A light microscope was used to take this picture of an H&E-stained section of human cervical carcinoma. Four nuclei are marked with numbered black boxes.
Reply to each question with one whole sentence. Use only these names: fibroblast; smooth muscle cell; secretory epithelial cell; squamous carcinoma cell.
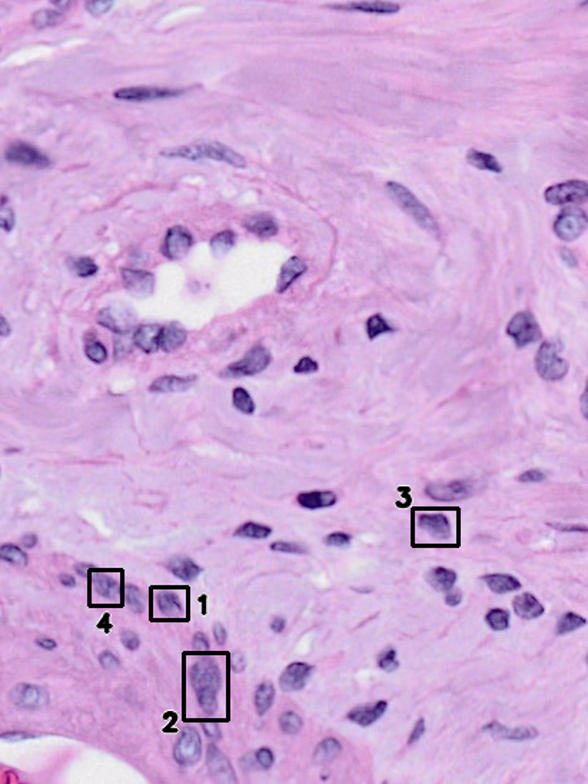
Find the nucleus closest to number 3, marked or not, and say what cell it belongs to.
Number 3 lies closest to the nucleus of a fibroblast.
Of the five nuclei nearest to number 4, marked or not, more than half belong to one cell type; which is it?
Most of the five nuclei nearest to number 4 are those of smooth muscle cells.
